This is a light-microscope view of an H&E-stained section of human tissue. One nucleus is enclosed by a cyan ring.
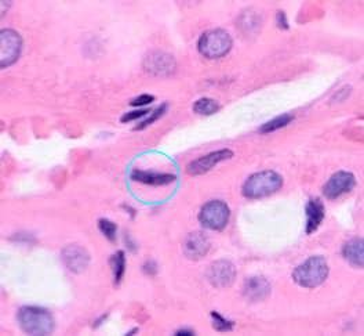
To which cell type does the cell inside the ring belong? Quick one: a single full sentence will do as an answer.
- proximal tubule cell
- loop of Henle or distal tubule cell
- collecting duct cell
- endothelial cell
It is as a collecting duct cell that the cell inside the ring is classified.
